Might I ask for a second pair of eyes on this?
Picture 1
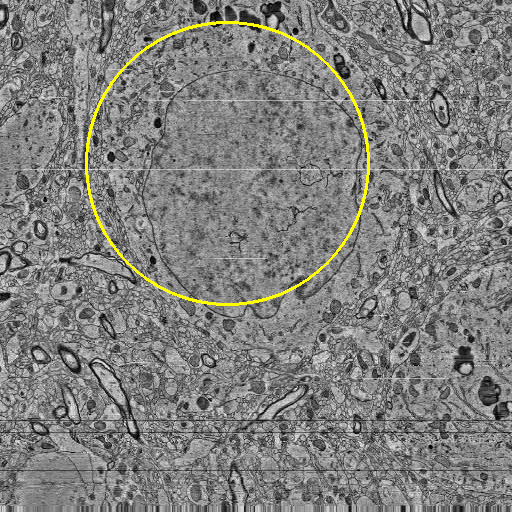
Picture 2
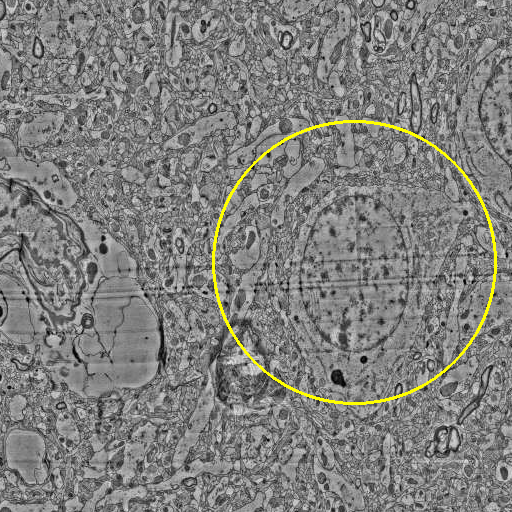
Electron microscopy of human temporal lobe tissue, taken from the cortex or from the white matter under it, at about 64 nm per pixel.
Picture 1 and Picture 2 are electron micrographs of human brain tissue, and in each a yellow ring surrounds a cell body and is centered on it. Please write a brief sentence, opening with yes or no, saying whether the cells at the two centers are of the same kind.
Yes, the cells are of the same kind.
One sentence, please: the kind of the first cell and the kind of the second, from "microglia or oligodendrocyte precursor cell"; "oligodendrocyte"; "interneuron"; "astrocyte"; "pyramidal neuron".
The second cell is a pyramidal neuron, just as the first is.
